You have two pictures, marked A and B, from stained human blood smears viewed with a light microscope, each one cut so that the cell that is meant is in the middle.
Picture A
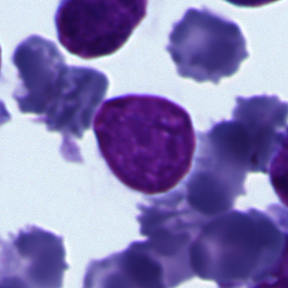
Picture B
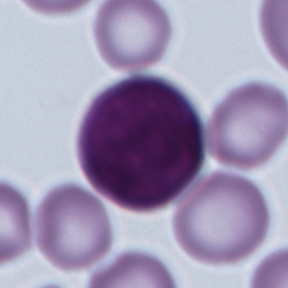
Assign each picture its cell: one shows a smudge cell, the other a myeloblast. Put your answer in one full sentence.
In picture A the cell is a smudge cell; in picture B, a myeloblast.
